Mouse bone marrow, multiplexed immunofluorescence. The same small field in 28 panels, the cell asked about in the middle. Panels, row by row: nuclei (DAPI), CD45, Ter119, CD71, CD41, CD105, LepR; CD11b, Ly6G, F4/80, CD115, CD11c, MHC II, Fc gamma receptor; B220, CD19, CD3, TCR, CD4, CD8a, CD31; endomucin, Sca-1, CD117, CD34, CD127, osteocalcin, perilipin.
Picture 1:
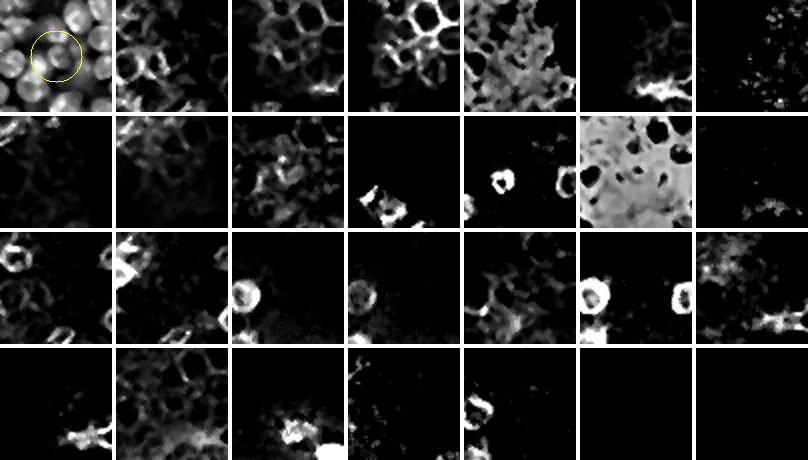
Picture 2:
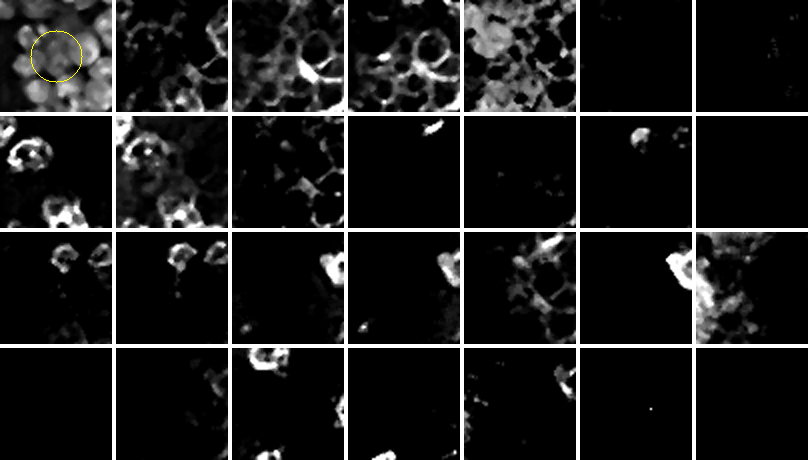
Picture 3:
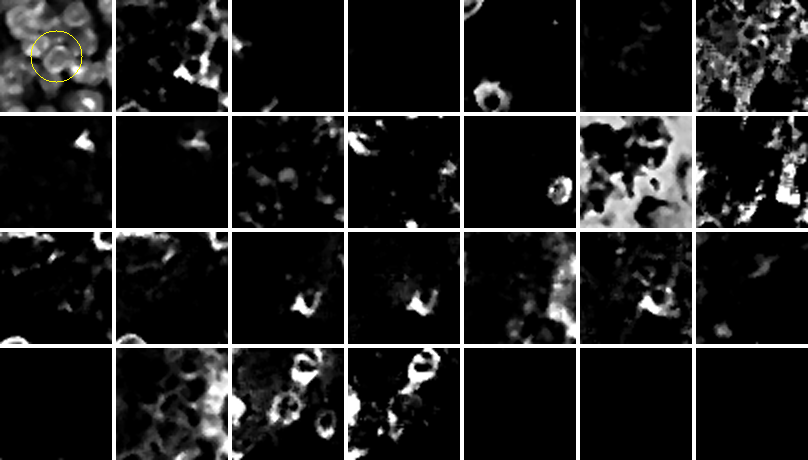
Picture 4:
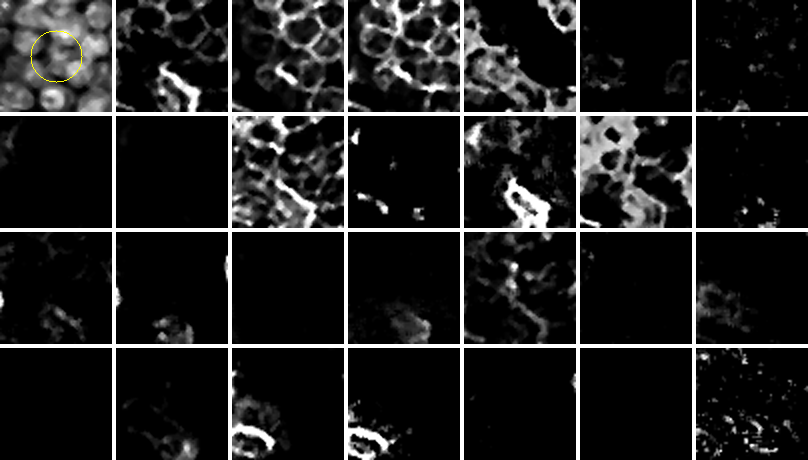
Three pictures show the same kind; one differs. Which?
Picture 3: a megakaryocyte-erythroid progenitor, while the others are erythroblasts.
